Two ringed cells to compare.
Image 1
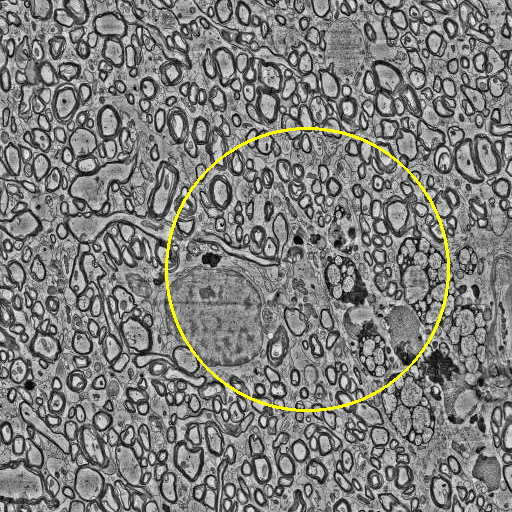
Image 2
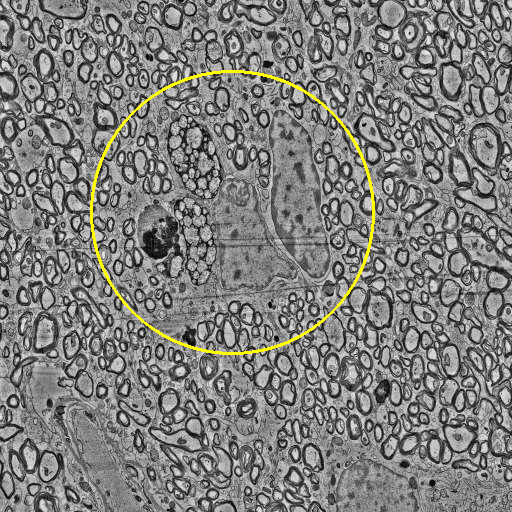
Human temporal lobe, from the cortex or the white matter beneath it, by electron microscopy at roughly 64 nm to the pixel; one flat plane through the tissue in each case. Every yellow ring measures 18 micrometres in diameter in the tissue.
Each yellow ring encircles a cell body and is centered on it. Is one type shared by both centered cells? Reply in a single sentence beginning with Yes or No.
No, two types are found among the cells at the centers of the rings.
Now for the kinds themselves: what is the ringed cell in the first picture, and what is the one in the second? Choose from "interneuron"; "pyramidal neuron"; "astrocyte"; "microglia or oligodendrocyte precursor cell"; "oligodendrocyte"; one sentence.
Here the first cell is an oligodendrocyte and the second cell is an astrocyte.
